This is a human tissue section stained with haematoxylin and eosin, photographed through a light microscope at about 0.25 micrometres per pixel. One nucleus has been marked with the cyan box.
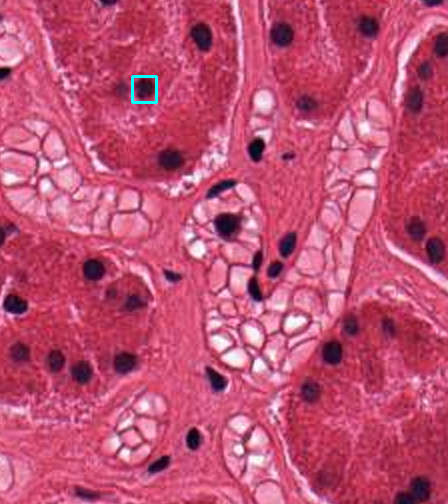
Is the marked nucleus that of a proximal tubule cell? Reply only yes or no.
yes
